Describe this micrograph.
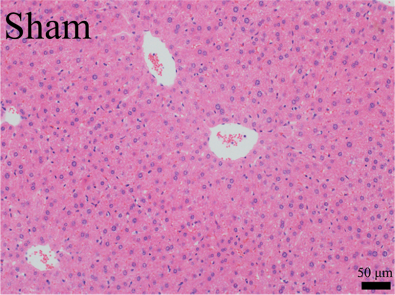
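Normal liver parenchyma made of hepatocytes arranged in regular plates, separated by narrow sinusoids. The hepatocytes are polygonal, with evenly pink cytoplasm and round, central, purple nuclei. Some cells have two nuclei. Several round to oval central veins with thin walls contain red blood cells. No vacuoles, clusters of inflammatory cells or pale necrotic areas are seen.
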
